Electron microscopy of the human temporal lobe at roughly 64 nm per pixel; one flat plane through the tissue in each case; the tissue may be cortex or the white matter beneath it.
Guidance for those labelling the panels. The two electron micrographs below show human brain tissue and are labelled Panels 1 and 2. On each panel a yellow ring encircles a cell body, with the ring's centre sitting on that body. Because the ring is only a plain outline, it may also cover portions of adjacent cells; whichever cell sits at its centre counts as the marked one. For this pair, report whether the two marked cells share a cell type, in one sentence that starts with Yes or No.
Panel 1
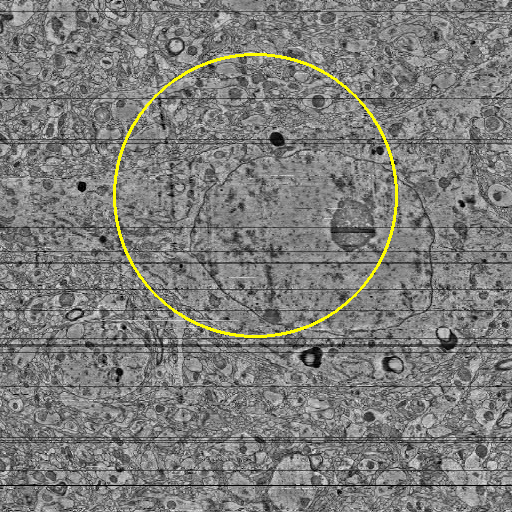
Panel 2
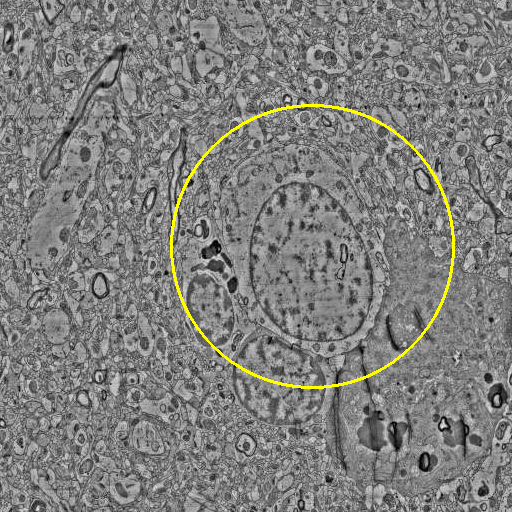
Yes, in Panel 1 and Panel 2 the marked cells at the ring centres share one type.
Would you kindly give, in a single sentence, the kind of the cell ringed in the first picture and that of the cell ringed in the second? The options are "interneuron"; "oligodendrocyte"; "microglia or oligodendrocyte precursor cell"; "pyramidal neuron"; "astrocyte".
In each picture the ringed cell is a pyramidal neuron.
